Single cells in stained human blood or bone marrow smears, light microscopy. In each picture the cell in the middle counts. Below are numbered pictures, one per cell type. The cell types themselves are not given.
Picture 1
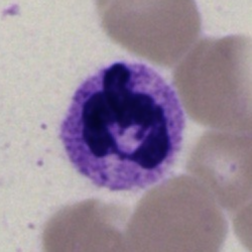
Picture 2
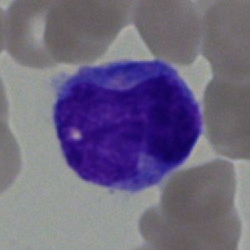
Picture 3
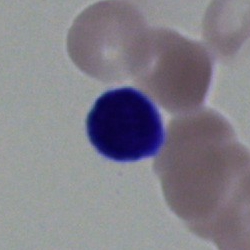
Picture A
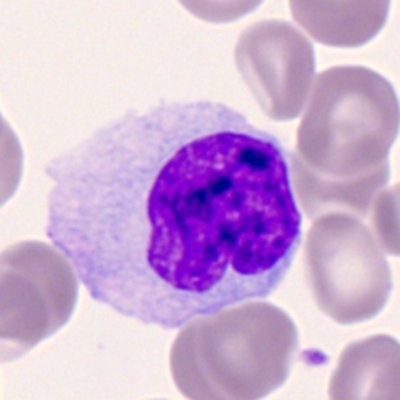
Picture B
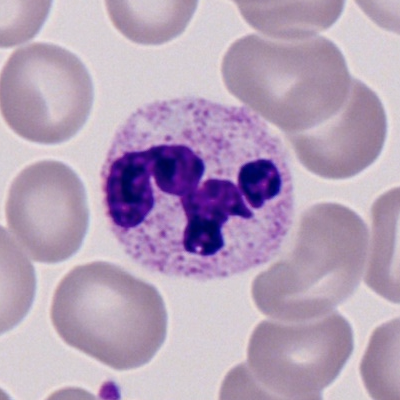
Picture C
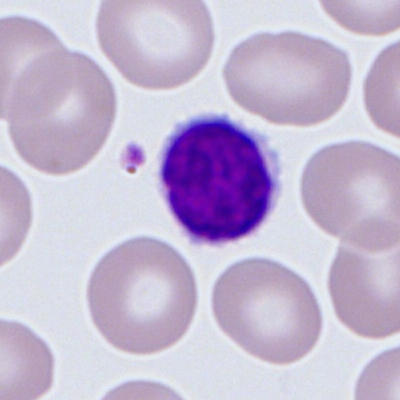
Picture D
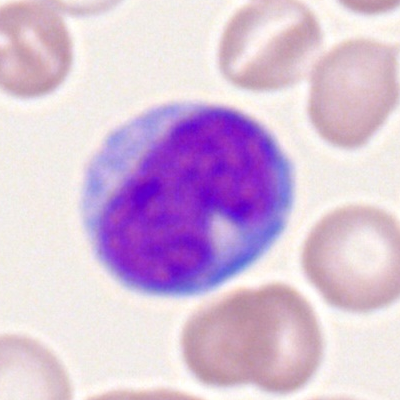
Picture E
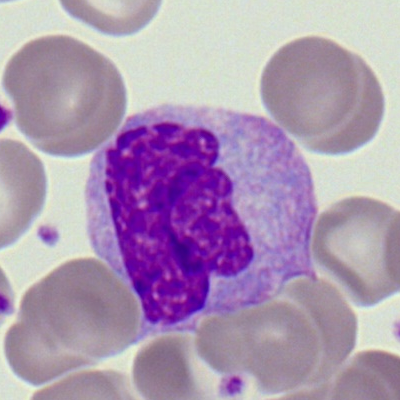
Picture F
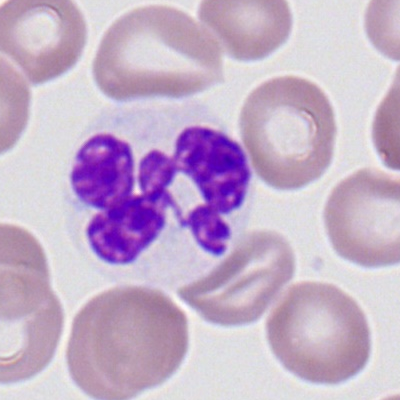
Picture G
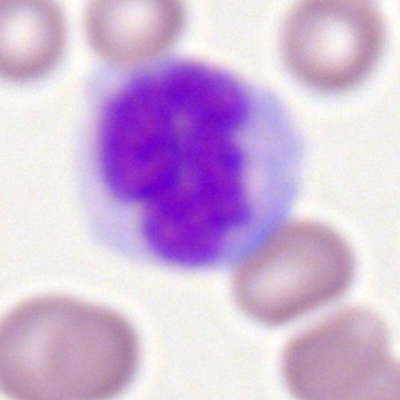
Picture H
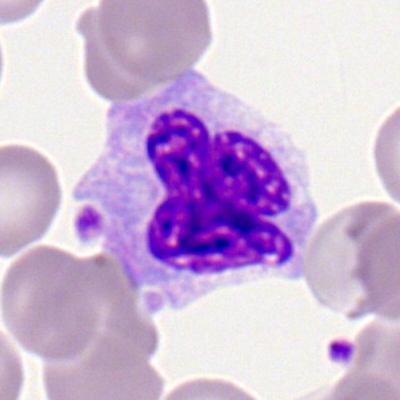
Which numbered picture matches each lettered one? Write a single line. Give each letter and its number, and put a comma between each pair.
A 2, B 1, C 3, D 2, E 2, F 1, G 2, H 2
